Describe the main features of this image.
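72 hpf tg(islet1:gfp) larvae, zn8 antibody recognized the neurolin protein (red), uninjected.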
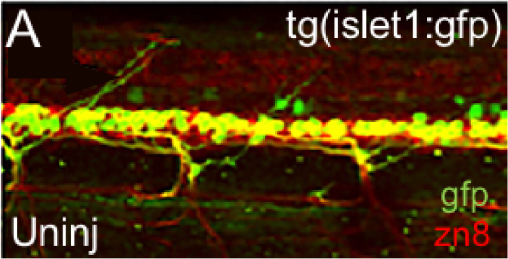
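Neurons form a continuous horizontal band of densely packed, small rounded cell bodies, most of them yellow where green and red fluorescence overlap. From this band, bundles of axons run downward and curve along the tissue below, labelled in yellow to red. A few scattered green cell bodies lie just above the band, some with fine processes.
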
